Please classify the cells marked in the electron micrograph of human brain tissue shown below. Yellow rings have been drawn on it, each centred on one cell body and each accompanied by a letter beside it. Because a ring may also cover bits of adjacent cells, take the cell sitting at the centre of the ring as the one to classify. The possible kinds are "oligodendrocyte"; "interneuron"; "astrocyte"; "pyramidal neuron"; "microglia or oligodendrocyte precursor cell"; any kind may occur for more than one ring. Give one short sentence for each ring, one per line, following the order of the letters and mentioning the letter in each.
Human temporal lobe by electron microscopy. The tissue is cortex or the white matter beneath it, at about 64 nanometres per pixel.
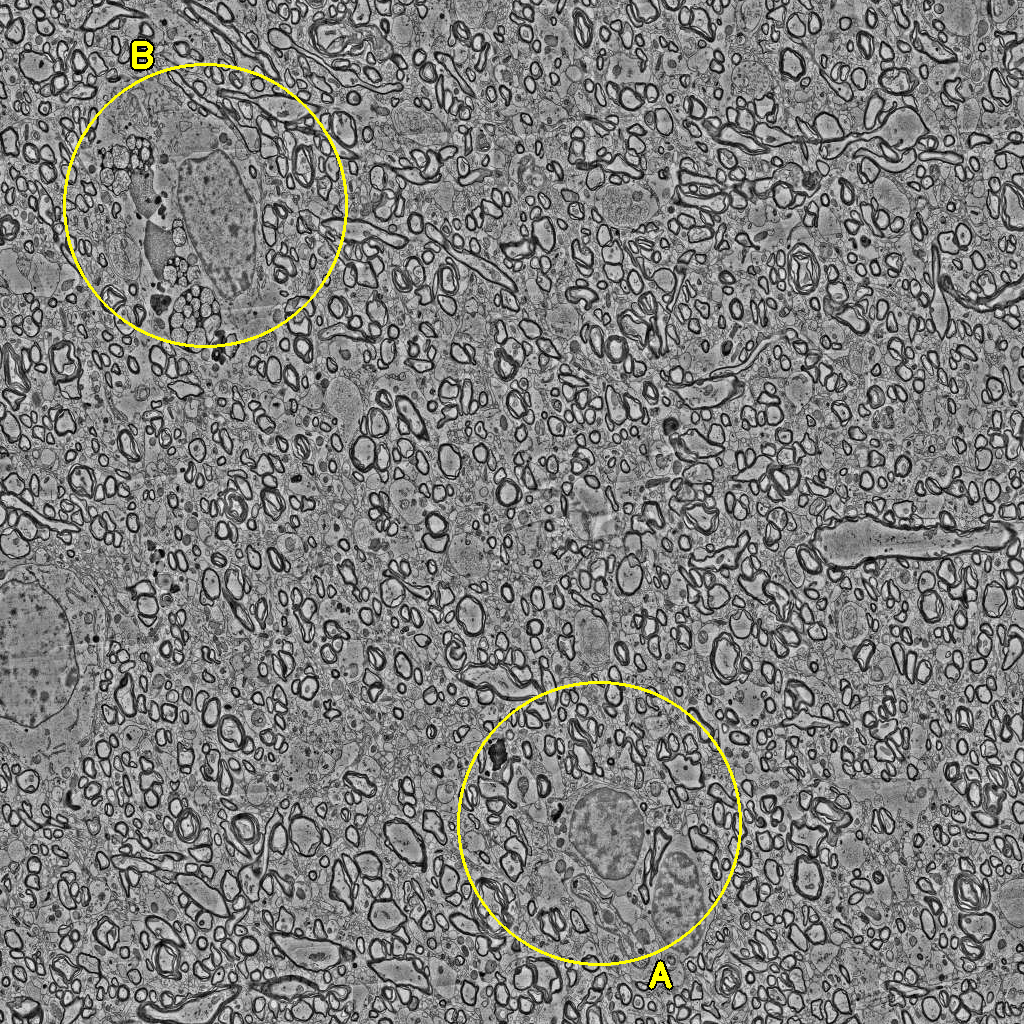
Ring A marks the cell body of an oligodendrocyte.
Ring B marks the cell body of an astrocyte.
